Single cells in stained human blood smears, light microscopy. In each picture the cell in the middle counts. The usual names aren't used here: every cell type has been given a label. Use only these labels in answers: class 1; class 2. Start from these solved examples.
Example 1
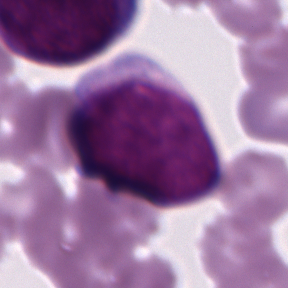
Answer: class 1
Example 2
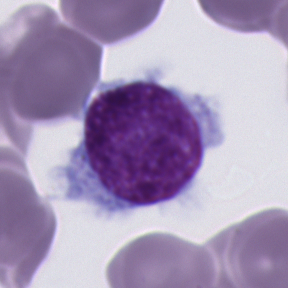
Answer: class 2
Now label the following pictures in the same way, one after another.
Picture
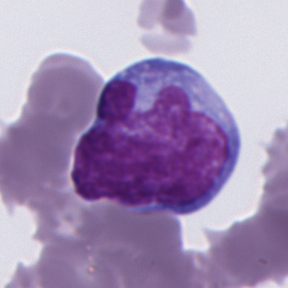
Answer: class 1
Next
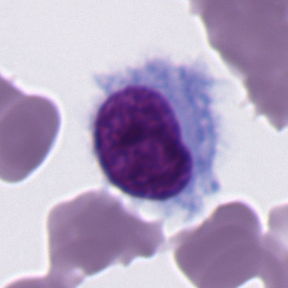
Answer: class 2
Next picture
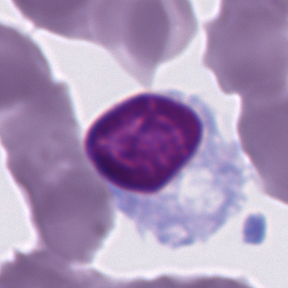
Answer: class 2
